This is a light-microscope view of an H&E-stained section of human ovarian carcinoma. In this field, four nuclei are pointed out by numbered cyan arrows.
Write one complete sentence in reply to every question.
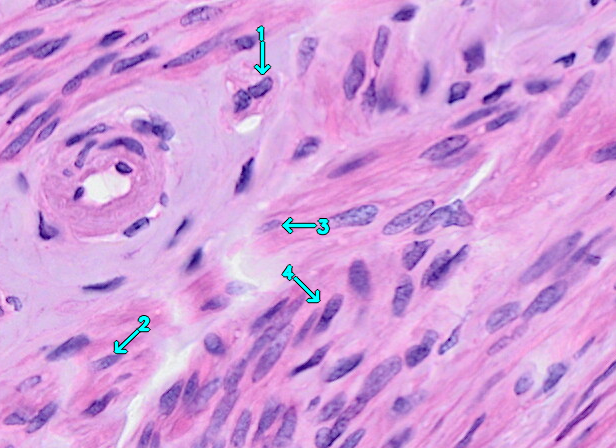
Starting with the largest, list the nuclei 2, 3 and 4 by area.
The nuclei rank 4, 2, 3, from largest to smallest.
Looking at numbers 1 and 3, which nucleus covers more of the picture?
At about 2 times the area of nucleus 3, nucleus 1 is the larger of the two.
